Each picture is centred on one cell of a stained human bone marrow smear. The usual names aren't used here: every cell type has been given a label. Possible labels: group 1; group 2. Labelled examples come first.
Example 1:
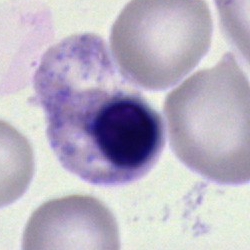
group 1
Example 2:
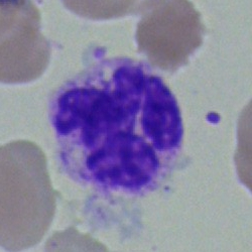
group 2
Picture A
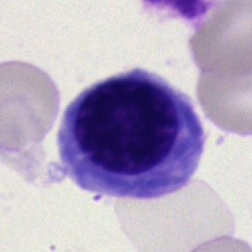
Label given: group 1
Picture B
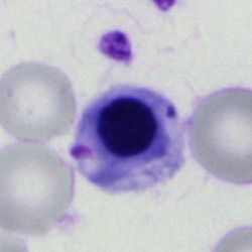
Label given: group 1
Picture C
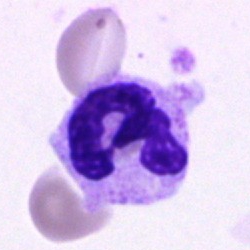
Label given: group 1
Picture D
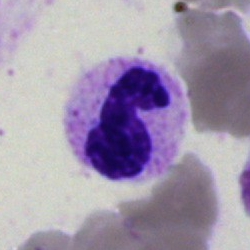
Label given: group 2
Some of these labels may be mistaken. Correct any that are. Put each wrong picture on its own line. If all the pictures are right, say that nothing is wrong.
C: not group 1 but group 2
